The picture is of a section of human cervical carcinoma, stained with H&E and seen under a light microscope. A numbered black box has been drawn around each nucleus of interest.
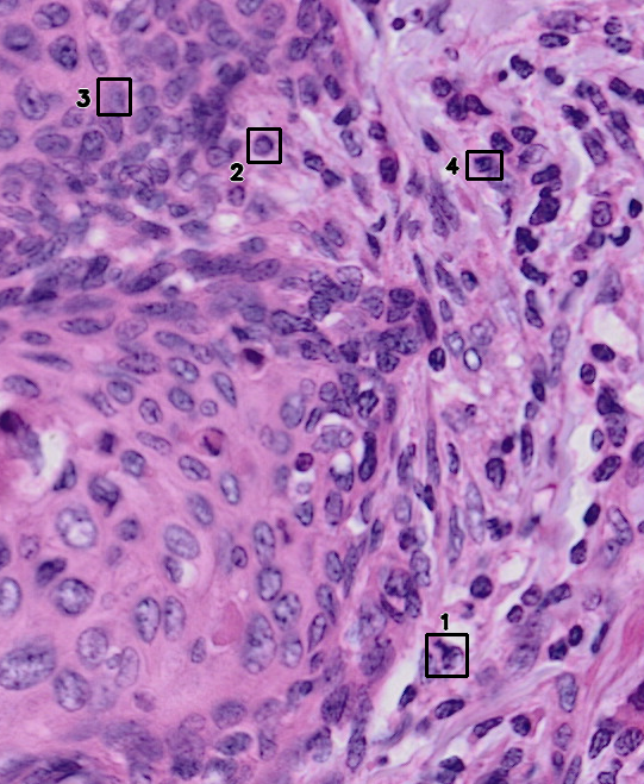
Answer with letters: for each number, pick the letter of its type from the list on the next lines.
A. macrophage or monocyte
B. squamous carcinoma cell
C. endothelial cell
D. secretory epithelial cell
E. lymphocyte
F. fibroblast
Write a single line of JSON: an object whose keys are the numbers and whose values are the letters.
{"1": "E", "2": "E", "3": "B", "4": "E"}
